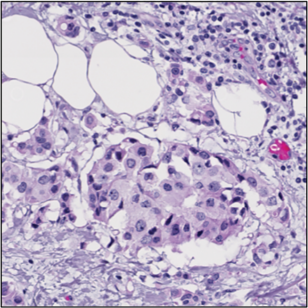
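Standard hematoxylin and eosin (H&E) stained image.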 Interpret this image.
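This section shows a cluster of epithelial cells in the middle, with a region of lymphocytic infiltration toward the upper right. The epithelial cells are large and lie close together in a nest. Their cytoplasm is ample and pale pink-purple, and their nuclei are big, round to oval, with open chromatin and clear nucleoli. In the upper right, by contrast, the field is crowded with many small, round, evenly dark purple nuclei that have barely any cytoplasm around them. These are the lymphocytes. Large empty white spaces in the upper left are separated by thin pink strands, and wisps of pink fibrous stroma run between the groups of cells.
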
